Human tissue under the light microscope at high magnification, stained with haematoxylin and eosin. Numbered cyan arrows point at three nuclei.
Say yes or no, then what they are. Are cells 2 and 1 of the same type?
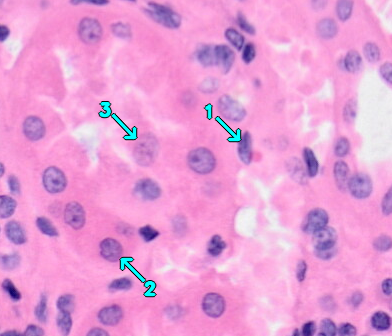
No, cell 2 is to be identified as a proximal tubule cell and cell 1 as an endothelial cell.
